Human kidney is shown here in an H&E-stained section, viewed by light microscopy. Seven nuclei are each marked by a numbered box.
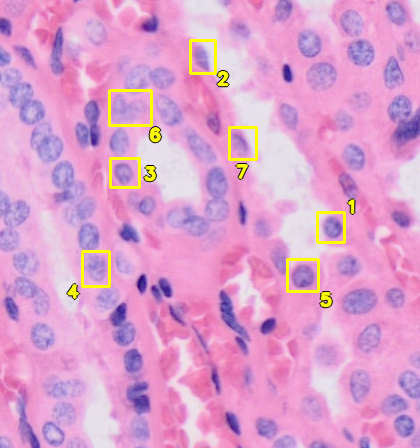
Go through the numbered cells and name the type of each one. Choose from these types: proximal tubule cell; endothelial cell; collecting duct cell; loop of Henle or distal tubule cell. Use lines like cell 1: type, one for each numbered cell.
cell 1: loop of Henle or distal tubule cell
cell 2: loop of Henle or distal tubule cell
cell 3: collecting duct cell
cell 4: collecting duct cell
cell 5: loop of Henle or distal tubule cell
cell 6: collecting duct cell
cell 7: loop of Henle or distal tubule cell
